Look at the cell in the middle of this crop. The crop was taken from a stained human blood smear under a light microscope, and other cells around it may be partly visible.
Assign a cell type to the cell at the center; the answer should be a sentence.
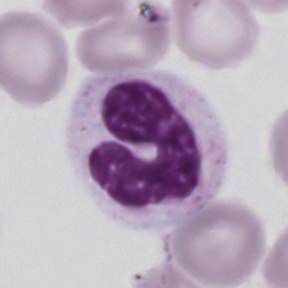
The cell the crop is centered on is a band neutrophil.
